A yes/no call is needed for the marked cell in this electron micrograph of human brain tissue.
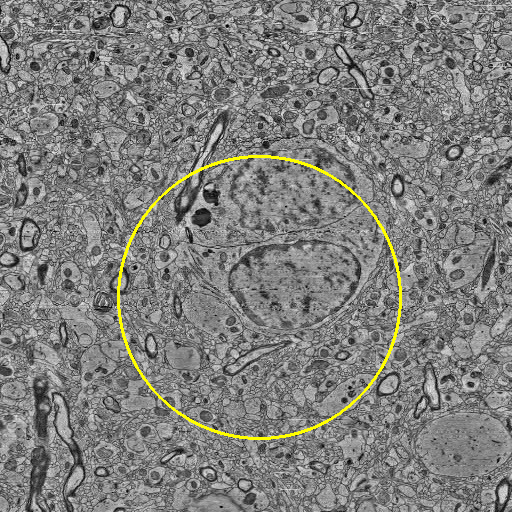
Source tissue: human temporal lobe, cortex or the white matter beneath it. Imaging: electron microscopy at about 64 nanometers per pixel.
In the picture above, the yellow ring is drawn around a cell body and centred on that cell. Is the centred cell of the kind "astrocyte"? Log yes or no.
no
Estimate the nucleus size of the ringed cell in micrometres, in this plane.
The nucleus of the ringed cell is approximately 8 by 6 micrometres in this plane.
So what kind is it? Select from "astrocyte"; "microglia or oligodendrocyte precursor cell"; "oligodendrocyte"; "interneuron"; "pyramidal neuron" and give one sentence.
It is a microglial cell or oligodendrocyte precursor cell that the ring is centred on.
